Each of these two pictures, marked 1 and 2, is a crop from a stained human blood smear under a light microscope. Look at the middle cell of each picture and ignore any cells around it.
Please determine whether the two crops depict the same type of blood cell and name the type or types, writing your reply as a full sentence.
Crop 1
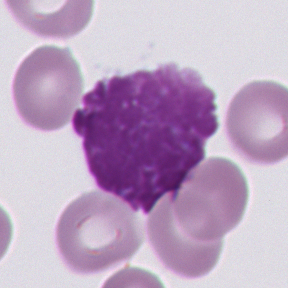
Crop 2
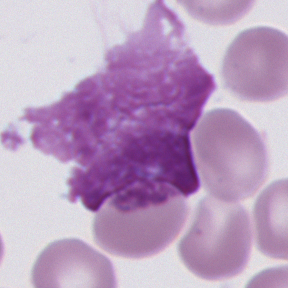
Yes, in short, both crops show smudge cells.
